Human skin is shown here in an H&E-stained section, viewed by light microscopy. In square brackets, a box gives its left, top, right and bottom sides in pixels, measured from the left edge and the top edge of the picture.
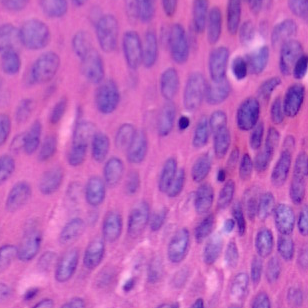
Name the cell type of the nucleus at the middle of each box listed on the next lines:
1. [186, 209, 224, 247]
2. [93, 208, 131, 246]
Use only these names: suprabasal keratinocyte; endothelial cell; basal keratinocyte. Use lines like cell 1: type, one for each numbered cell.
cell 1: basal keratinocyte
cell 2: suprabasal keratinocyte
